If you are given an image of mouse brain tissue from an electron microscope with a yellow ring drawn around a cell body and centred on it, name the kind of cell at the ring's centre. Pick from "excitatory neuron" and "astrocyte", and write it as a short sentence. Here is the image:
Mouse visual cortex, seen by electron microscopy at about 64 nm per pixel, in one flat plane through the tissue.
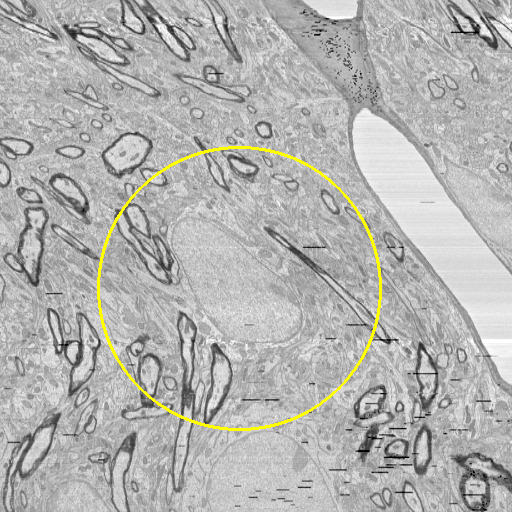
The cell at the ring's centre is an astrocyte.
